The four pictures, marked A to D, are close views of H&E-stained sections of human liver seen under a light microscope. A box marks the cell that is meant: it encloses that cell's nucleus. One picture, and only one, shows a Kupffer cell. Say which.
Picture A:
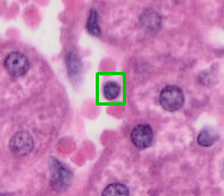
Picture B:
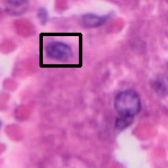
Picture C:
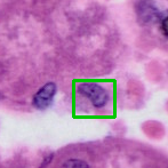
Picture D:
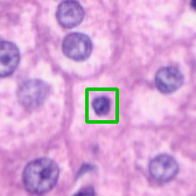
C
